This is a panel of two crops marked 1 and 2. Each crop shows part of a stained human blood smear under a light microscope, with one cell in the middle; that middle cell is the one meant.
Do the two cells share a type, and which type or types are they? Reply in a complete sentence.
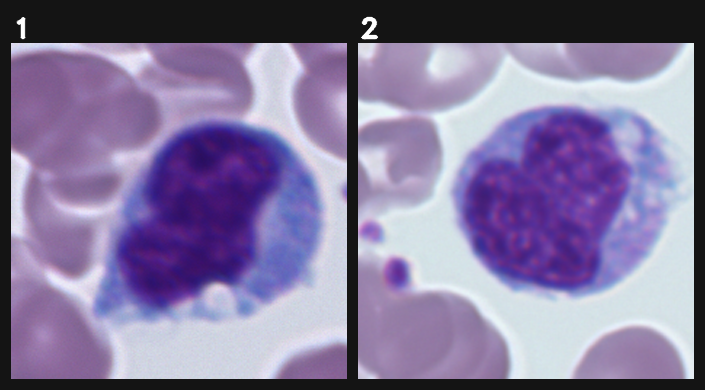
Yes, monocytes are depicted in both crops.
